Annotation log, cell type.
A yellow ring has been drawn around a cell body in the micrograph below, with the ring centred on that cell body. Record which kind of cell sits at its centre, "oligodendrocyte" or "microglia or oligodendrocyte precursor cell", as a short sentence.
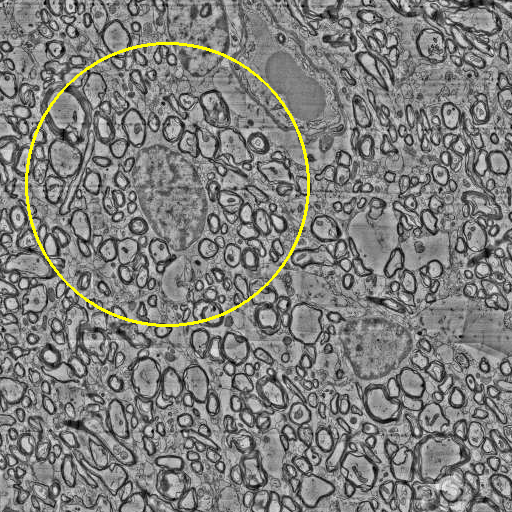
The cell at the centre of this ring is an oligodendrocyte.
